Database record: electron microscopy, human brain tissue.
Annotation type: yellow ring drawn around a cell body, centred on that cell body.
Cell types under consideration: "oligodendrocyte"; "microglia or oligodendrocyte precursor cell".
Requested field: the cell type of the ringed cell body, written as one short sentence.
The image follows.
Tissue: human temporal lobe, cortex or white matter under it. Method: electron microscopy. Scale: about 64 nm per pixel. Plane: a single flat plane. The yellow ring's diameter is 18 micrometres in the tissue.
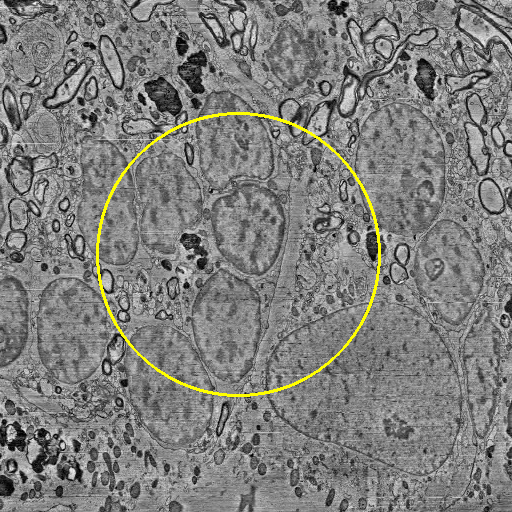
The ringed cell body represents an oligodendrocyte.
